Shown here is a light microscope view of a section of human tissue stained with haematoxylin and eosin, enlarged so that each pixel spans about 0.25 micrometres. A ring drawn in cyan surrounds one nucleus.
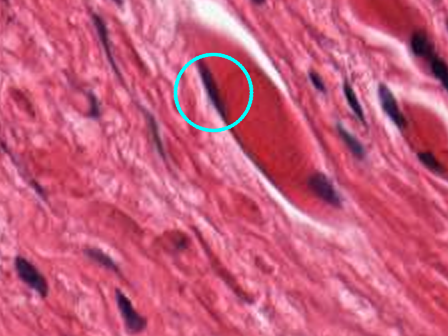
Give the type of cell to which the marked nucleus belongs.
endothelial cell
